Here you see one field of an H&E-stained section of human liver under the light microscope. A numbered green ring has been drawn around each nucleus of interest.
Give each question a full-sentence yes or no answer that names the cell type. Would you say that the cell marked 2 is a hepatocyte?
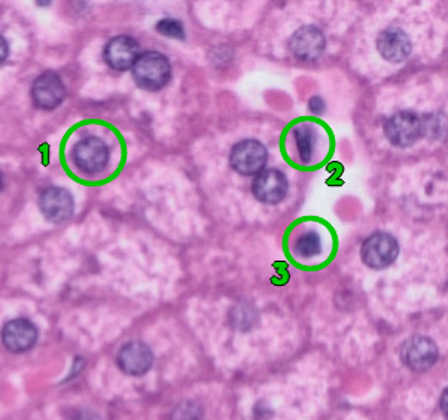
No, the cell tagged 2 is a fibroblast or stellate cell, not a hepatocyte.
